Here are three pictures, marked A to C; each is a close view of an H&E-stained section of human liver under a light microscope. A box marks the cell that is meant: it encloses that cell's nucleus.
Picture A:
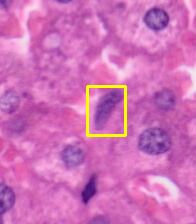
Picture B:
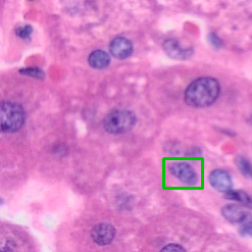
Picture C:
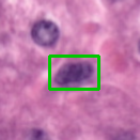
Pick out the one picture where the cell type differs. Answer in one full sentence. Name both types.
The different one is picture B; it shows a cholangiocyte, whereas all the others show Kupffer cells.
